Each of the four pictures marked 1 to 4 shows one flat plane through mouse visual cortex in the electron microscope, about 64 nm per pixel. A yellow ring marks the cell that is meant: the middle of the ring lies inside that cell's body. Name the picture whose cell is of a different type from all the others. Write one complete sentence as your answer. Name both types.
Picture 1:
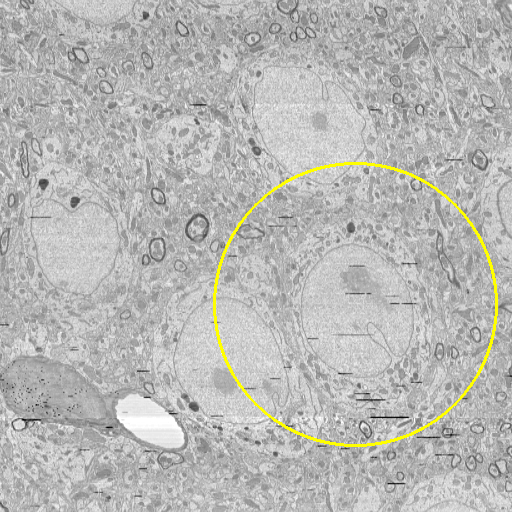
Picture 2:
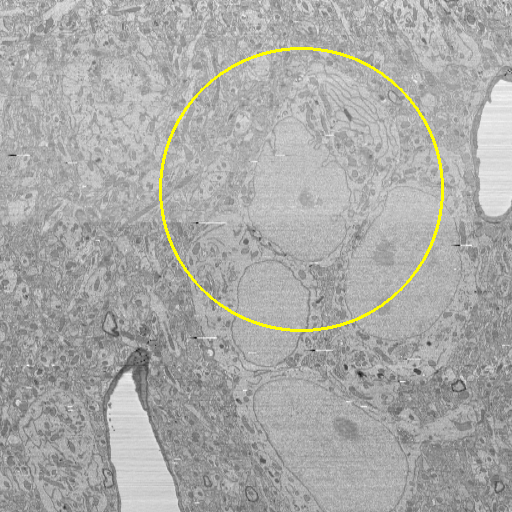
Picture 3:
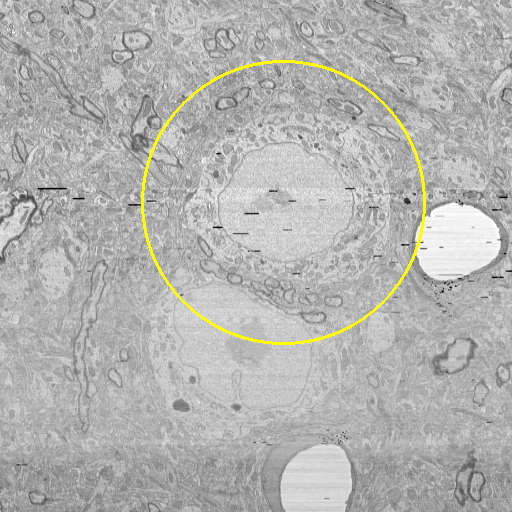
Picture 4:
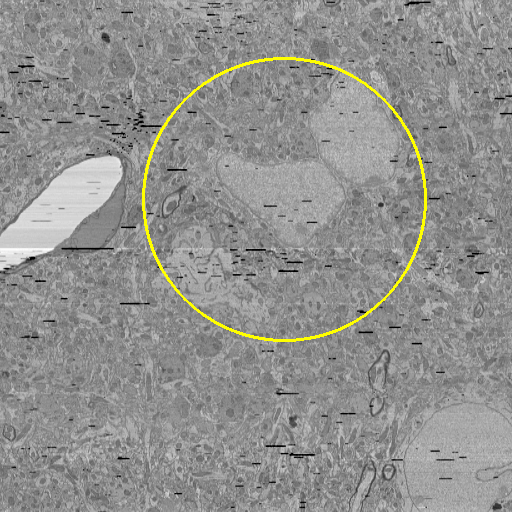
The others show inhibitory neurons, but picture 4 shows an astrocyte.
